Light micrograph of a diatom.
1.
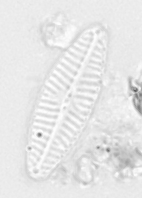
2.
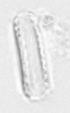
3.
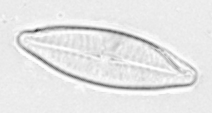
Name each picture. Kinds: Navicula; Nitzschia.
1: Navicula
2: Nitzschia
3: Navicula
